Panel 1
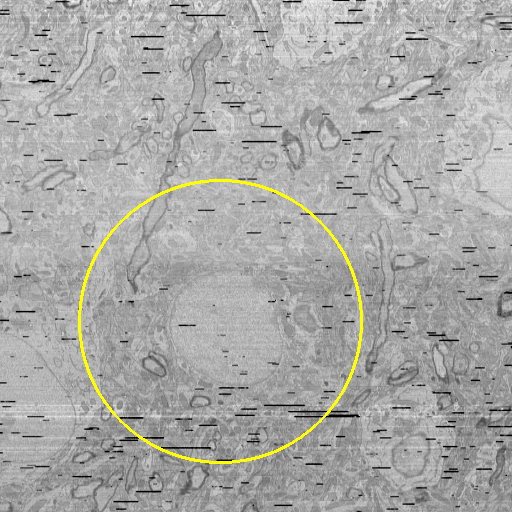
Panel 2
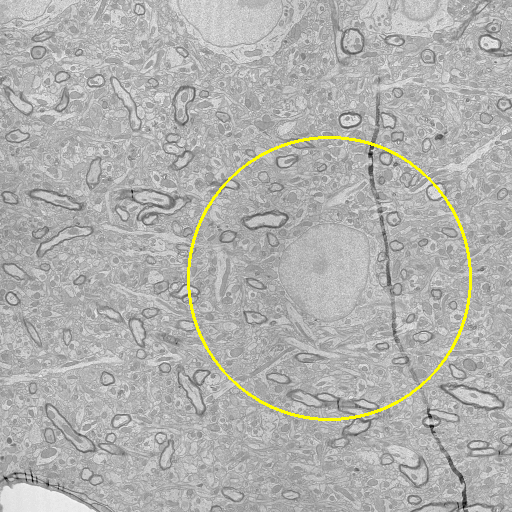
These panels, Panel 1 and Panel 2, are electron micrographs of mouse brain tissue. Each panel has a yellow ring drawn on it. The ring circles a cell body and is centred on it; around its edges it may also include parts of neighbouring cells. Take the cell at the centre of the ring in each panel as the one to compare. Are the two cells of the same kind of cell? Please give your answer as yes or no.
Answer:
yes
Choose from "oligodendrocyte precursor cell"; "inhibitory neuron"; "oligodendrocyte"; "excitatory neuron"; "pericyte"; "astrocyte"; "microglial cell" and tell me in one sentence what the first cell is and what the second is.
Each of the two cells is an astrocyte.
